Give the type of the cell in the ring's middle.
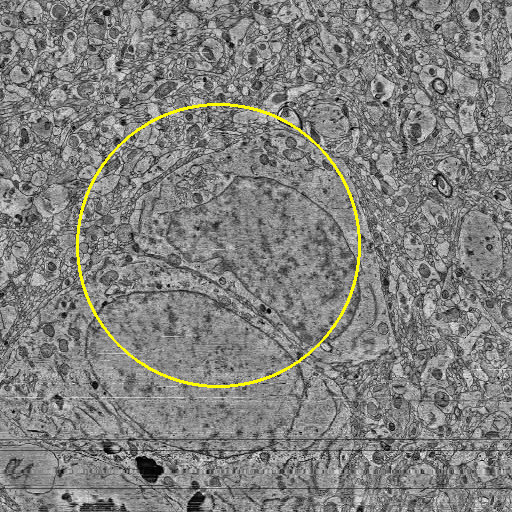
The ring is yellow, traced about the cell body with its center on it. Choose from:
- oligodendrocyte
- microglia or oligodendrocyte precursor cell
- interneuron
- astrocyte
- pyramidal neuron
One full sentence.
Here, an interneuron is the cell lying at the center of the yellow ring.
